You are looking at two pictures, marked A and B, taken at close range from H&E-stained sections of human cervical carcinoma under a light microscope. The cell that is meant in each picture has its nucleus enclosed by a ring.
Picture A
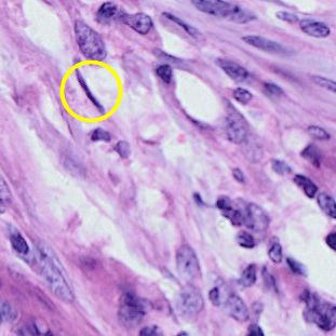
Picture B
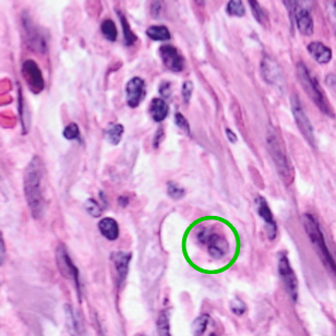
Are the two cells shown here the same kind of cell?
no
